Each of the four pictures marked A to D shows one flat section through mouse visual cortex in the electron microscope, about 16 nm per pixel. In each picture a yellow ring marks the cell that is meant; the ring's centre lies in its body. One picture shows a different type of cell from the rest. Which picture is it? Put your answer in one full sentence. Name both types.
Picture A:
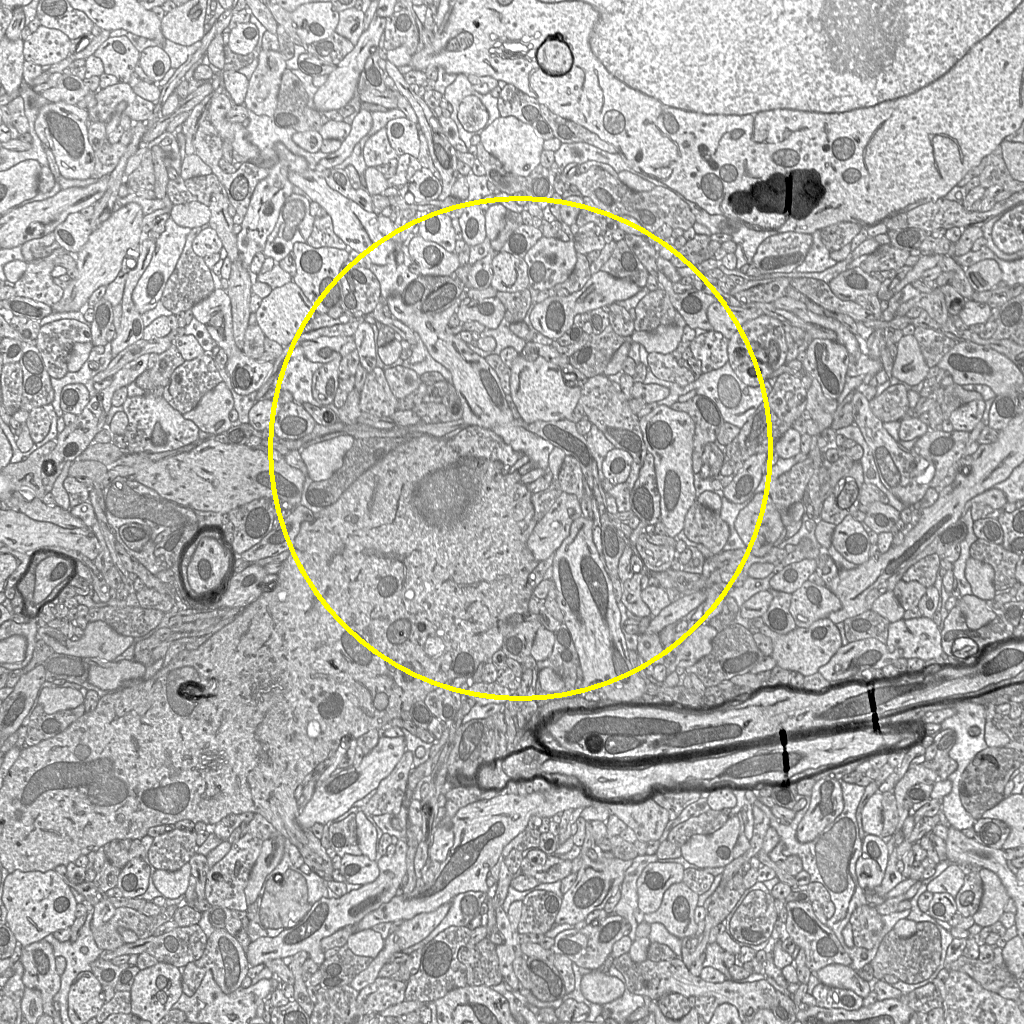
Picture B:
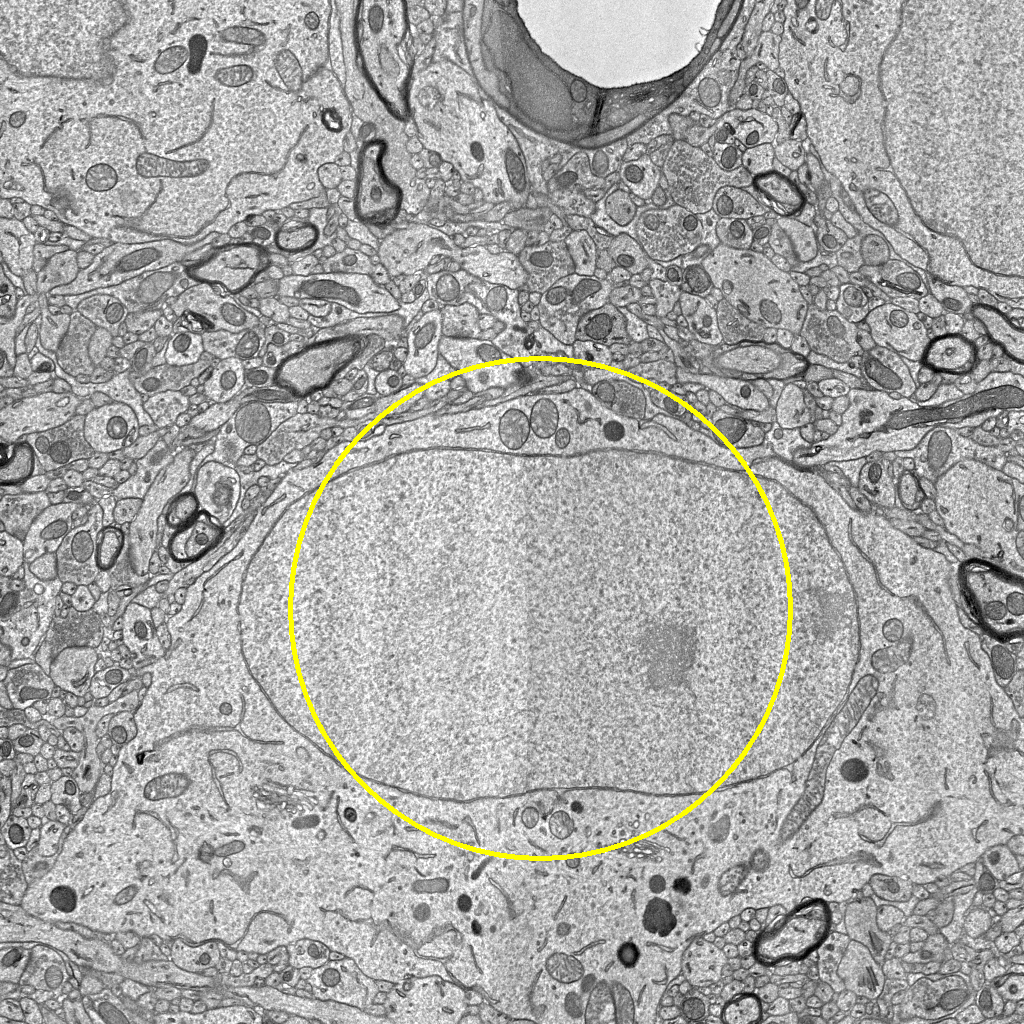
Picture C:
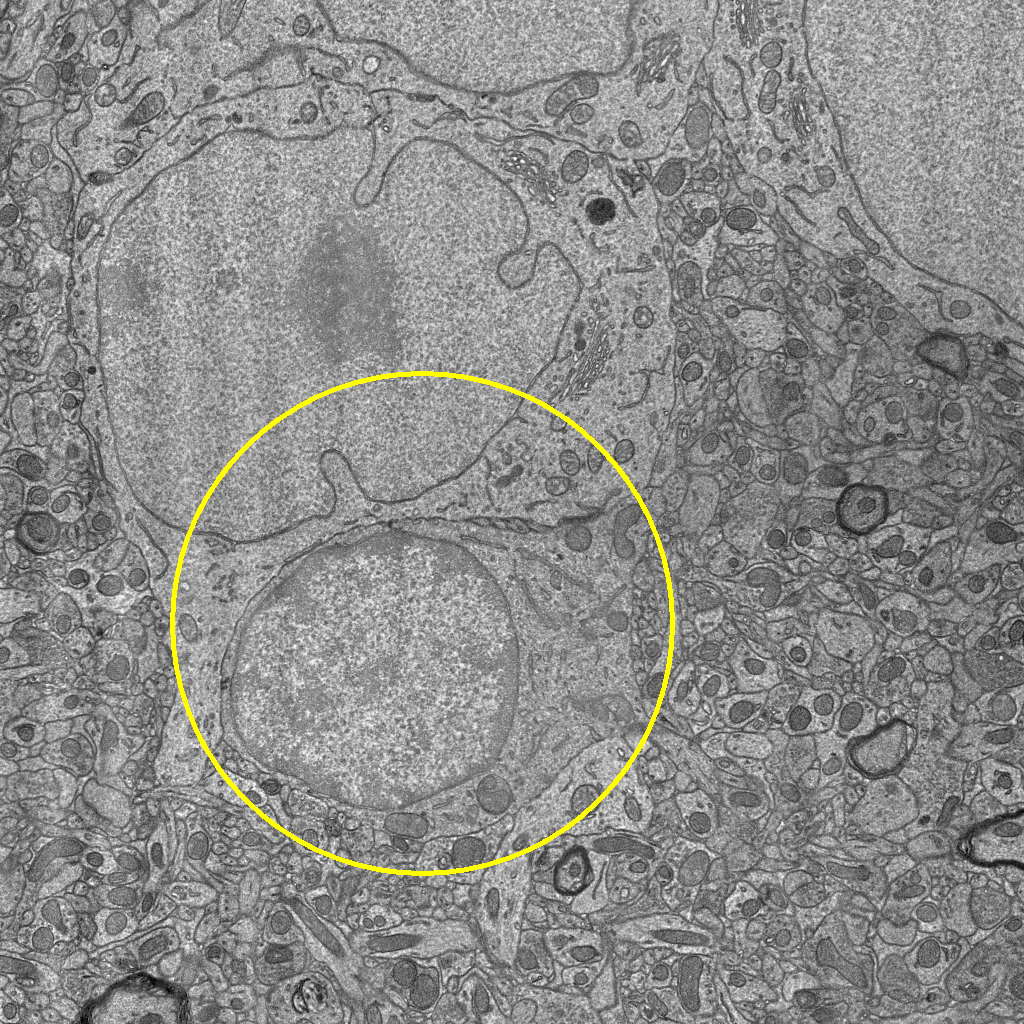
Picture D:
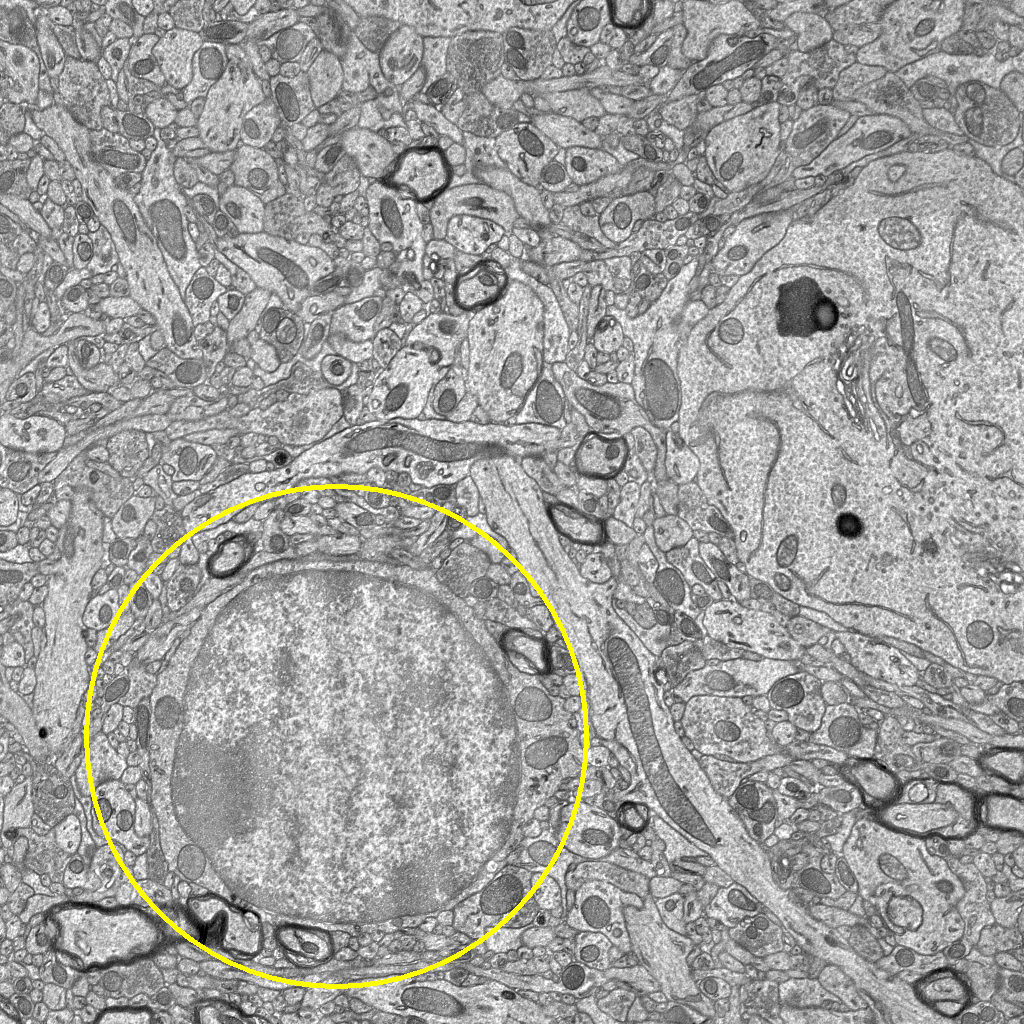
Unlike the rest, which show oligodendrocytes, picture B shows an excitatory neuron.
